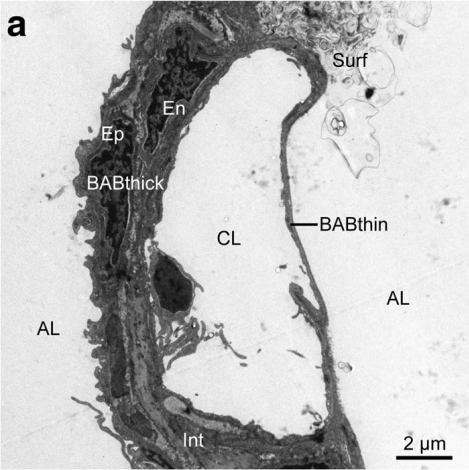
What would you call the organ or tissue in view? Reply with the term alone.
Interalveolar septum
